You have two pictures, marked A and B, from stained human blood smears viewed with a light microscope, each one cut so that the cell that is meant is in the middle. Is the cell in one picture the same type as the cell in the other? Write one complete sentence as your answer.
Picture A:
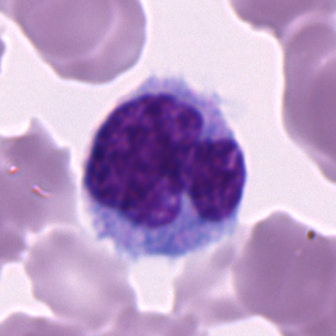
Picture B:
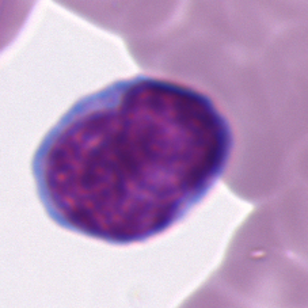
No; the cell in picture A is a hairy cell, while the one in picture B is a typical lymphocyte.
